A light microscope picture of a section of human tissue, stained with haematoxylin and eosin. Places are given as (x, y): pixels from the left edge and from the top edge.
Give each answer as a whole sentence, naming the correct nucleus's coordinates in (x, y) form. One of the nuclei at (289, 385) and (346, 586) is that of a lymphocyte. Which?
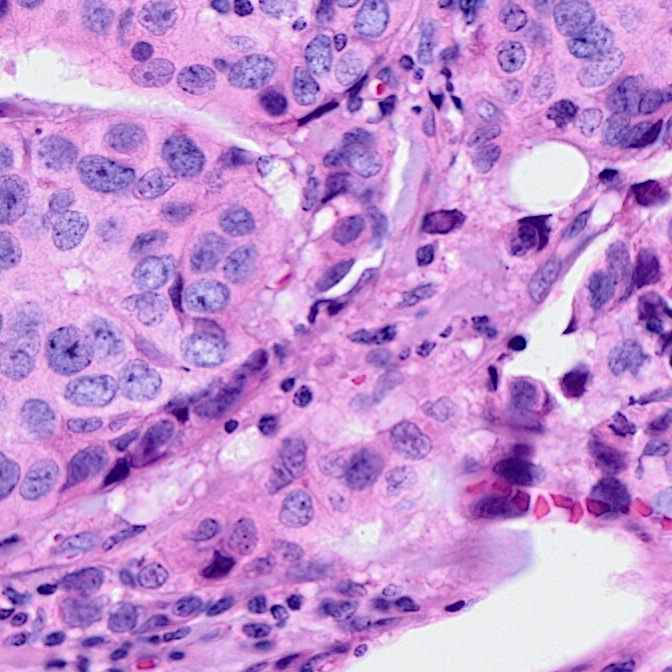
Of the two nuclei, it is the one at (289, 385) that lies within a lymphocyte.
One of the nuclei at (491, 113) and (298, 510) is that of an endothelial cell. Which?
Rather than the other nucleus, the one at (491, 113) belongs to an endothelial cell.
